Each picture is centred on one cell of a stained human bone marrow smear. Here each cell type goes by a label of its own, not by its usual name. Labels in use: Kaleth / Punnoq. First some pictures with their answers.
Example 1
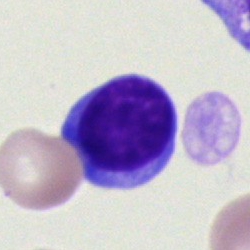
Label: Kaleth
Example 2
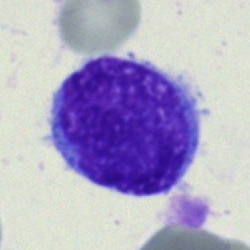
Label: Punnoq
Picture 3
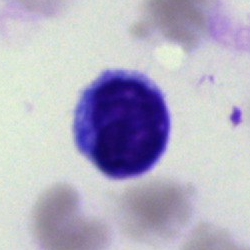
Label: Kaleth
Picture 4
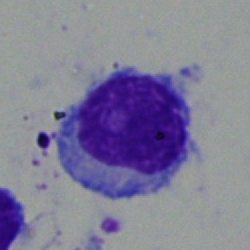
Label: Kaleth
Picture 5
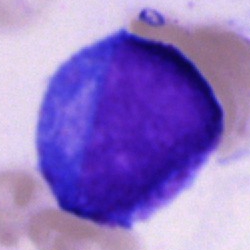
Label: Punnoq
